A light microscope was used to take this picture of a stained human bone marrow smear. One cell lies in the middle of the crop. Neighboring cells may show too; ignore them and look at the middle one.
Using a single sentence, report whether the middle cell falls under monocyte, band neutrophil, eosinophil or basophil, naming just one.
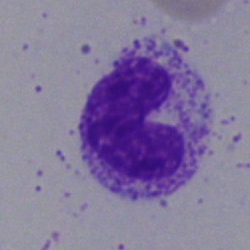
The middle cell in this particular crop is a band neutrophil.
